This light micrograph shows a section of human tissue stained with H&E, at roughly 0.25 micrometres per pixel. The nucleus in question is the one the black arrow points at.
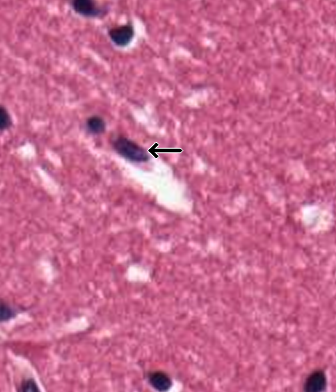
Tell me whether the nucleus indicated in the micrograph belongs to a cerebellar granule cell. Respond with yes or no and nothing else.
no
